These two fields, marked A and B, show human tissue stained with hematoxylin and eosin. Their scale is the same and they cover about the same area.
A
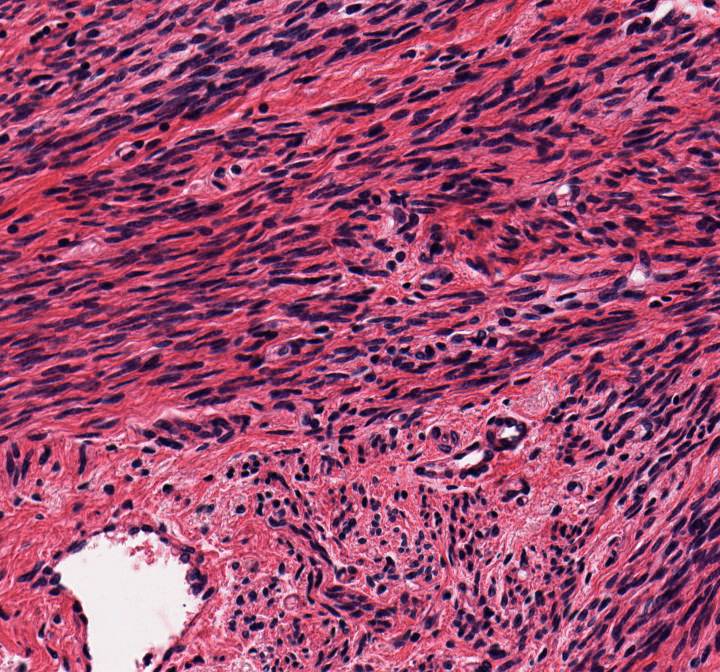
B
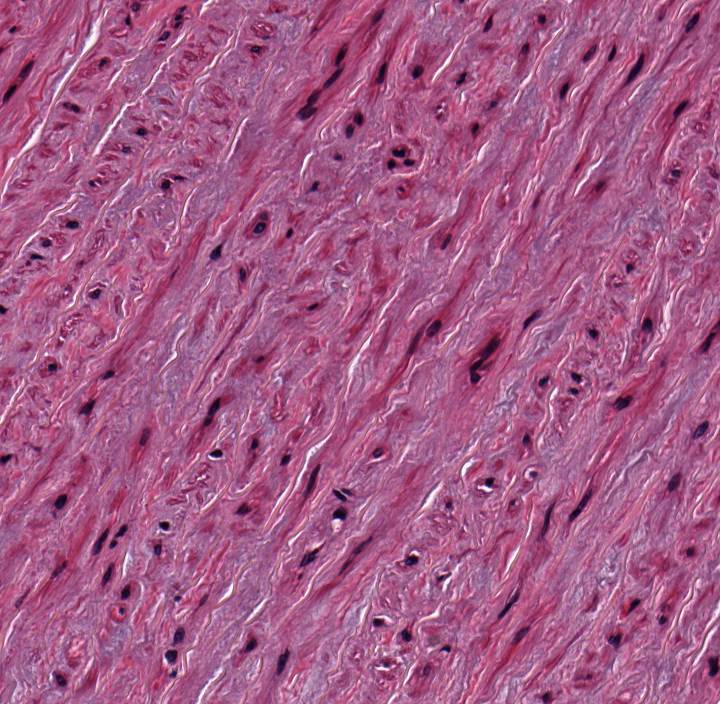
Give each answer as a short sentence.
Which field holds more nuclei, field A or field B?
There are more nuclei in field A.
